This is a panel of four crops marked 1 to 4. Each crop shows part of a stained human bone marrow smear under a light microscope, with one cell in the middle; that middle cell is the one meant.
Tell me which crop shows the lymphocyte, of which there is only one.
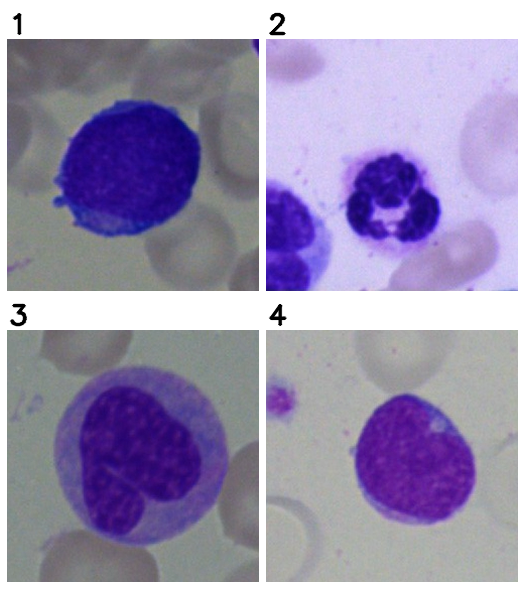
4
